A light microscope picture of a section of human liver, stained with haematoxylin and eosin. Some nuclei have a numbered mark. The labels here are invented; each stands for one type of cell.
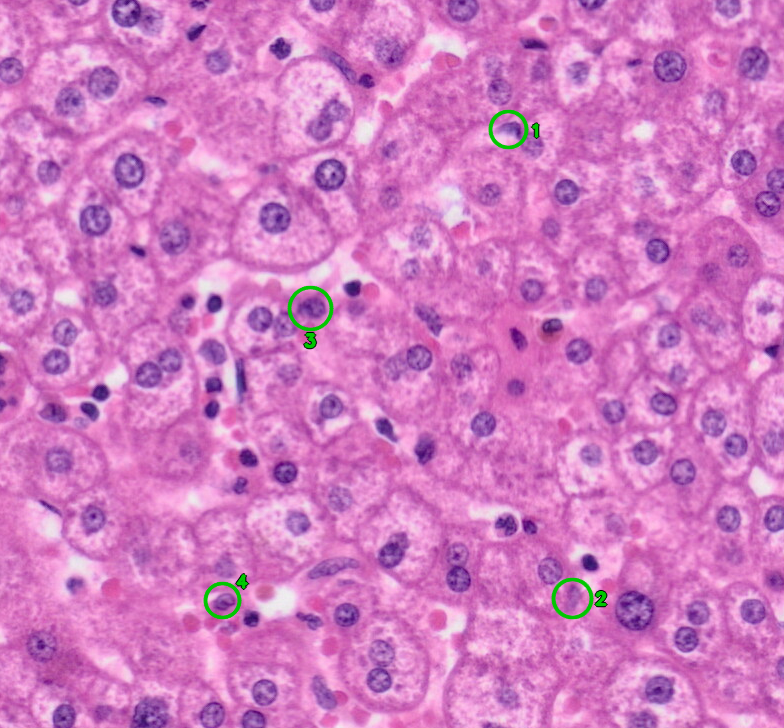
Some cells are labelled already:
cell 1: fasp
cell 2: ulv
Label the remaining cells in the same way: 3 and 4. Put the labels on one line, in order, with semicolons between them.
ulv; ulv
